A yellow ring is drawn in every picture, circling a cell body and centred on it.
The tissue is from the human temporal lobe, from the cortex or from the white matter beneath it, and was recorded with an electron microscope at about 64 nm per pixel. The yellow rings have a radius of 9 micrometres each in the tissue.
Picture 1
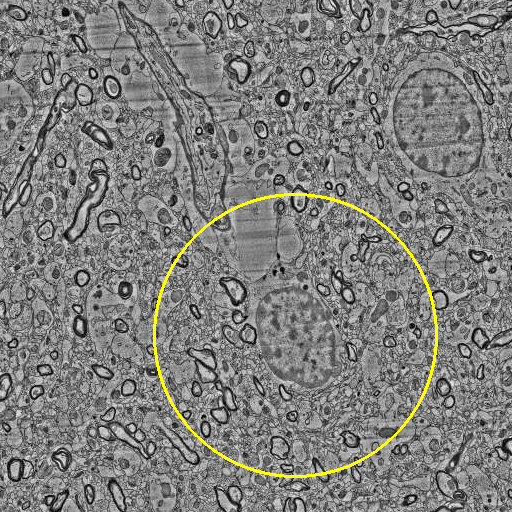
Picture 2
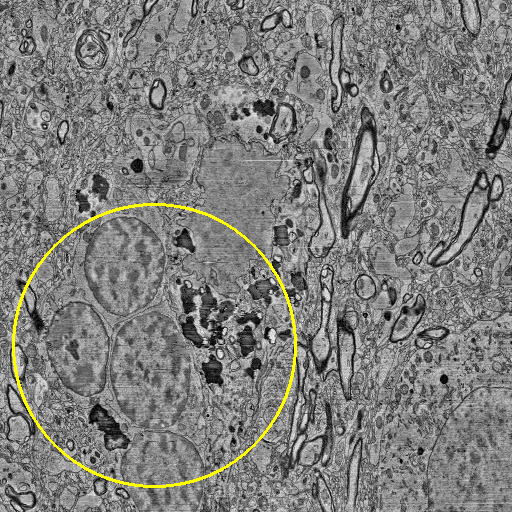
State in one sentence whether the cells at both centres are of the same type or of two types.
The cells at the two ring centres, one per picture, are of the same type.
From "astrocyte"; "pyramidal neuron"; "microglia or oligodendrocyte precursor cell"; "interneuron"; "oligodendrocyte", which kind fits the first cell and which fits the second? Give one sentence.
The cell in the first picture is an oligodendrocyte, and so is the one in the second.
